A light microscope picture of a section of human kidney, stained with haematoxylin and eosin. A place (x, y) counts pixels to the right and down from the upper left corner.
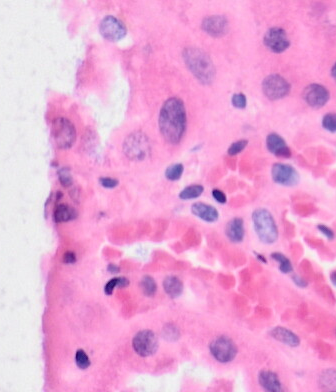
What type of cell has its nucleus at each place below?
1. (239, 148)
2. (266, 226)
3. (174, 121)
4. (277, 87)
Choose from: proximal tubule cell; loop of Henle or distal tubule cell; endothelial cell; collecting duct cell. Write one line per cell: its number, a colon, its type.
1: endothelial cell
2: collecting duct cell
3: proximal tubule cell
4: proximal tubule cell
